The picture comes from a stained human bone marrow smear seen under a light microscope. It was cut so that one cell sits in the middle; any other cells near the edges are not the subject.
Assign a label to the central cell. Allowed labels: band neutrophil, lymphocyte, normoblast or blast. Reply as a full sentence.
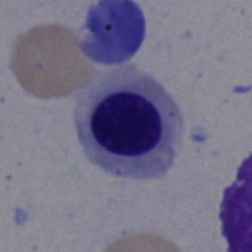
At the center of the crop sits a normoblast.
